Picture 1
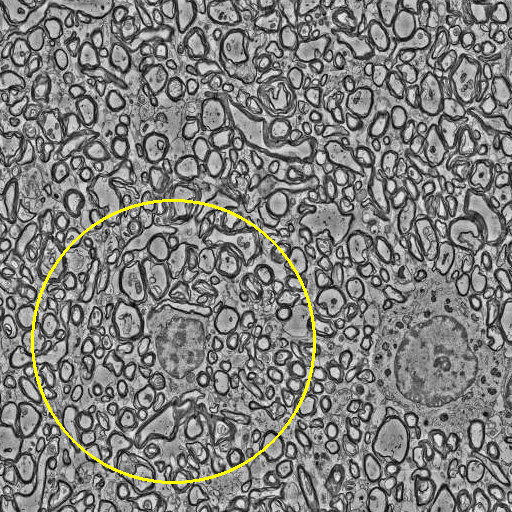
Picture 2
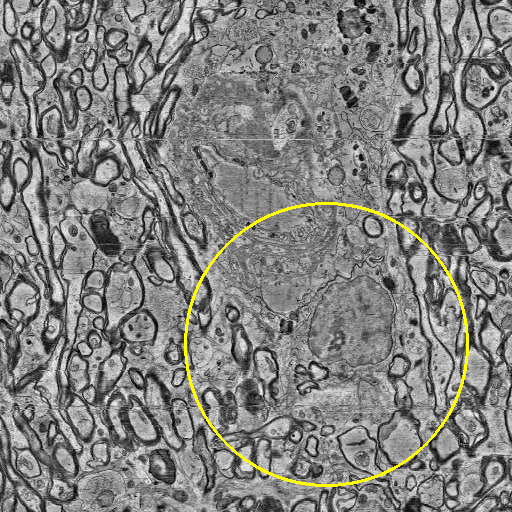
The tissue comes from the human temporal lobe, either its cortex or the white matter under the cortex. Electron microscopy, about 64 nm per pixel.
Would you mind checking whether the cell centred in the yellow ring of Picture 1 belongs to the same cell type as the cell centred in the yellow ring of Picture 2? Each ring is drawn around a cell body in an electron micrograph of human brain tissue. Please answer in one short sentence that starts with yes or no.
No, the two cells are of two types.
